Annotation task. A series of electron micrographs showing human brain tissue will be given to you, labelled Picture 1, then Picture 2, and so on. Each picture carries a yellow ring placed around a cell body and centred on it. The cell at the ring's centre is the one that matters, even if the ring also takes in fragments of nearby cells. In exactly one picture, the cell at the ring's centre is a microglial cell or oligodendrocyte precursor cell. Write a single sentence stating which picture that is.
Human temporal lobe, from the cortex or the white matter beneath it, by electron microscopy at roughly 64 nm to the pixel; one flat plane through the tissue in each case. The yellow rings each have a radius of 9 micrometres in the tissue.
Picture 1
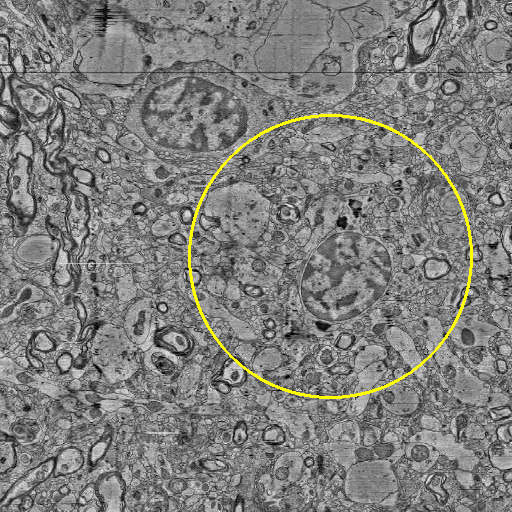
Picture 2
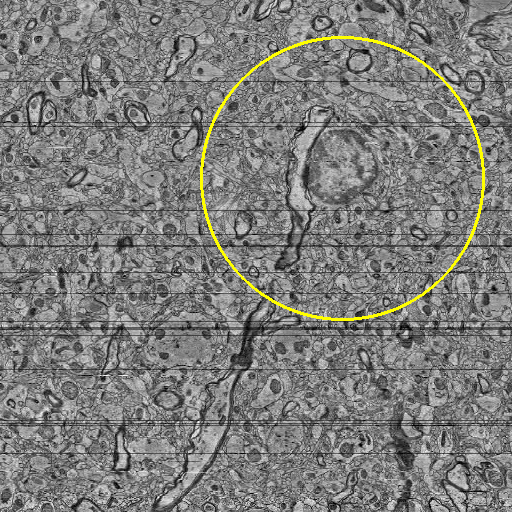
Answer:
Picture 1 holds the requested cell at the very centre of its ring.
